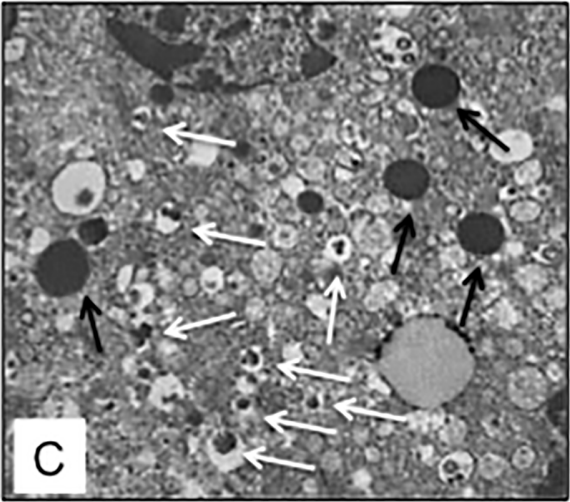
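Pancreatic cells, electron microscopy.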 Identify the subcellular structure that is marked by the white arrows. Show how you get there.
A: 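The white arrows point to small vesicles with a dense core inside a pale halo. These vesicles are smaller than the uniformly dark granules. The answer: insulin-like.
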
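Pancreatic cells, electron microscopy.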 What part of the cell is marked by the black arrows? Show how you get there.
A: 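The black arrows point to large round homogeneous electron-dense granules.
Zymogen-like.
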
